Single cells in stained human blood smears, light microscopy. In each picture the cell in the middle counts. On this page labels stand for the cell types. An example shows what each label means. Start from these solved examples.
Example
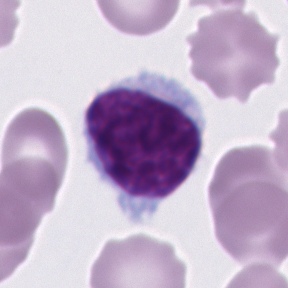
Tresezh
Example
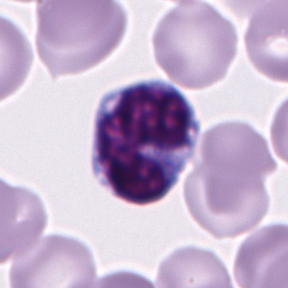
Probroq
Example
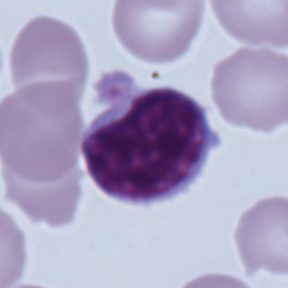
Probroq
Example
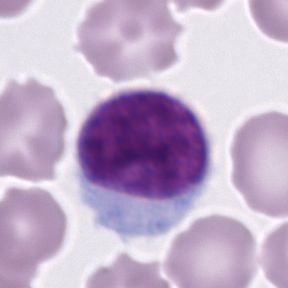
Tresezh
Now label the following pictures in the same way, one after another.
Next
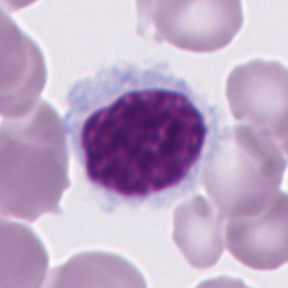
Tresezh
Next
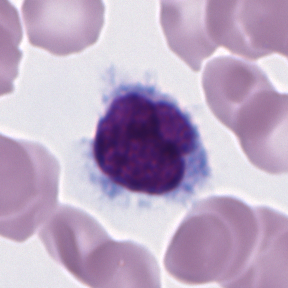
Tresezh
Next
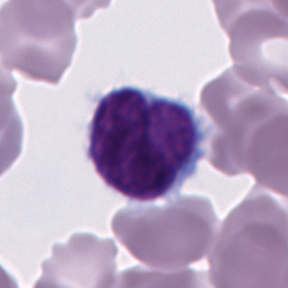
Tresezh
